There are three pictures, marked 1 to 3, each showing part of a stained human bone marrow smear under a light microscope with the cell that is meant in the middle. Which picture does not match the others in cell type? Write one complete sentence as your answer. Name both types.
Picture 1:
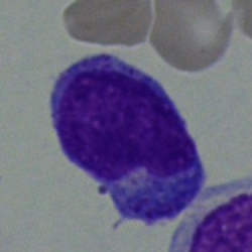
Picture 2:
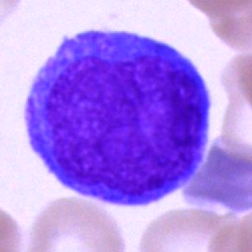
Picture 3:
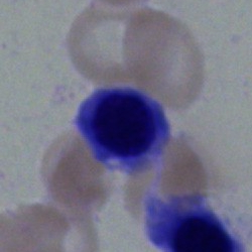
The different one is picture 3; it shows an erythroblast, whereas all the others show blasts.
